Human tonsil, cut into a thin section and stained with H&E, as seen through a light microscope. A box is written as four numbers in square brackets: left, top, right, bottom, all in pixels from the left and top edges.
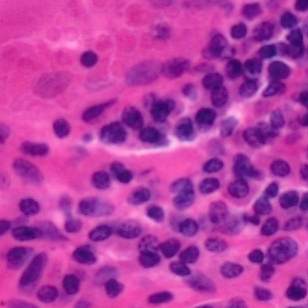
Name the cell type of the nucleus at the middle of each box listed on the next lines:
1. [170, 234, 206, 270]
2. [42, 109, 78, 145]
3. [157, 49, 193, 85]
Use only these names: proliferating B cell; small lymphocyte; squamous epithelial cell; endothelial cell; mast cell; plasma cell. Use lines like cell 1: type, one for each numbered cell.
cell 1: plasma cell
cell 2: mast cell
cell 3: endothelial cell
